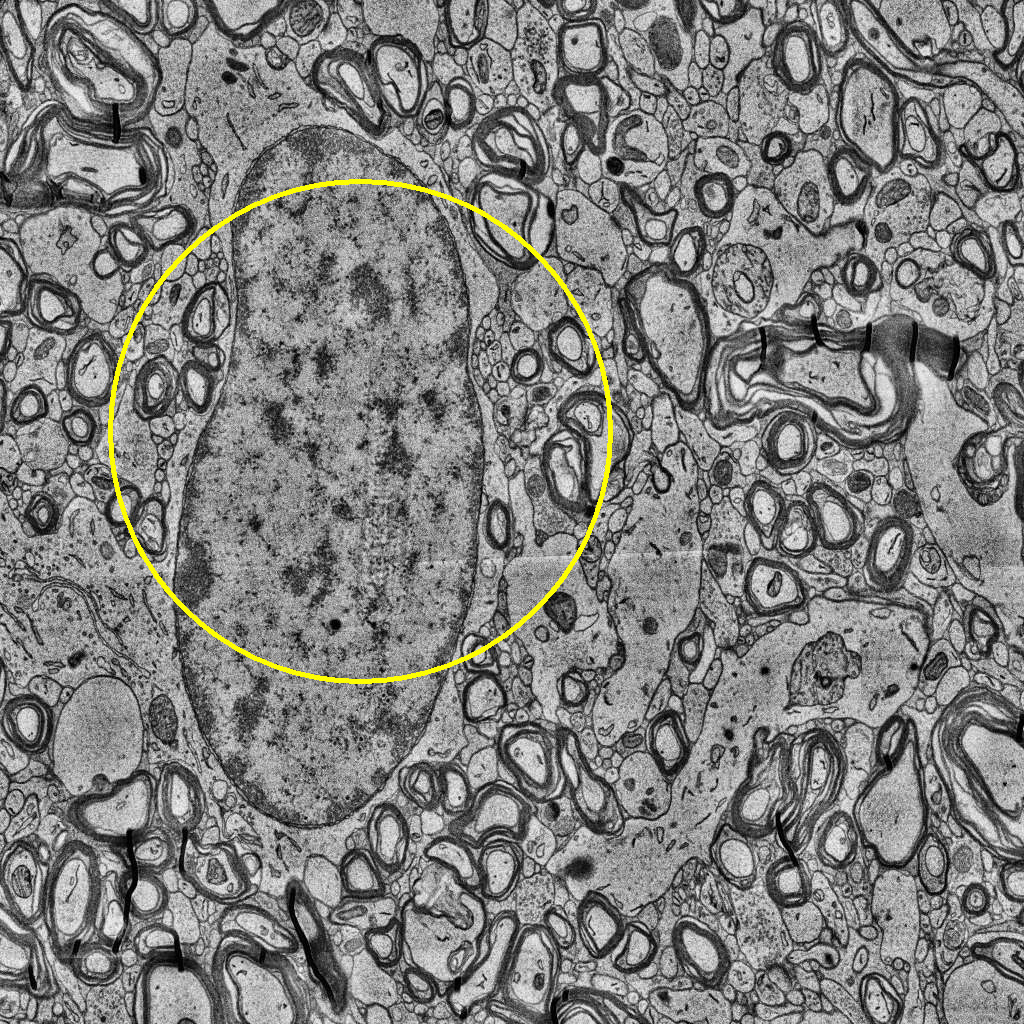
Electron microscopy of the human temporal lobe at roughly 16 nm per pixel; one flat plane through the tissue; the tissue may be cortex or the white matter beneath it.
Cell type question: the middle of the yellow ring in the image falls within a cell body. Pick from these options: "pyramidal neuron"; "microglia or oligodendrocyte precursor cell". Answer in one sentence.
The cell body at the center of the ring belongs to a microglial cell or oligodendrocyte precursor cell.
